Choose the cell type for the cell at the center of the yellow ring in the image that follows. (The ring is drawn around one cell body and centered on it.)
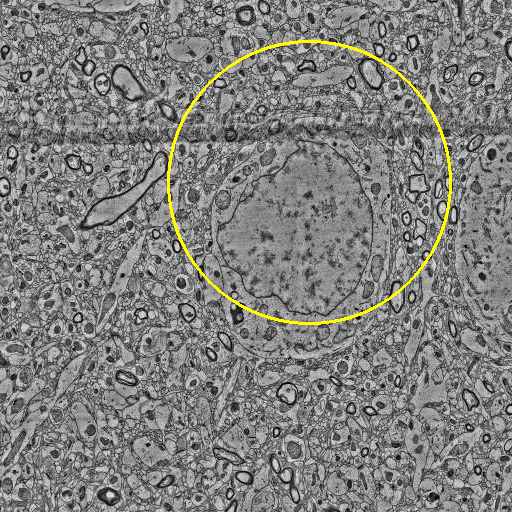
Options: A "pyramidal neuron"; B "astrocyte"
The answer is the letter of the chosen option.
A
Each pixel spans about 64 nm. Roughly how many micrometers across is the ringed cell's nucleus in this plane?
The nucleus measures about 10 micrometers across in this plane.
